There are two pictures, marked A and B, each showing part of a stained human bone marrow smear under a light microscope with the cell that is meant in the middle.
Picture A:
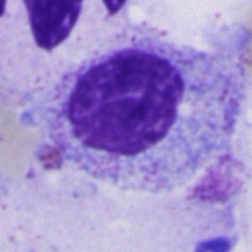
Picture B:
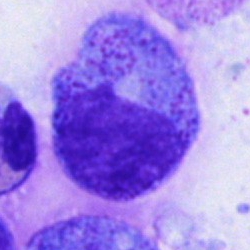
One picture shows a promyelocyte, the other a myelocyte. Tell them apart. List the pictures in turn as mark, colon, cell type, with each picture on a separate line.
A: myelocyte
B: promyelocyte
